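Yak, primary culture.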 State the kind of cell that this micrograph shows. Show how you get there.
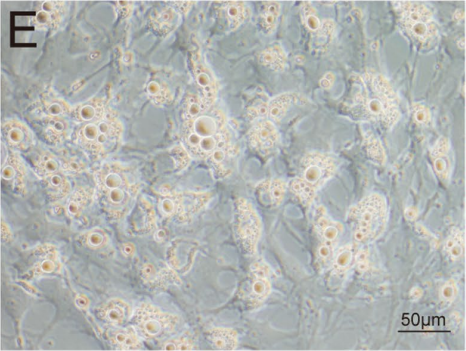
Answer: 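Rounded cells packed with refractile round droplets. Droplets vary from small to large, some large single droplets fill much of a cell. Flat spindle-shaped cells lie between the droplet-filled cells.
Answer: adipocytes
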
